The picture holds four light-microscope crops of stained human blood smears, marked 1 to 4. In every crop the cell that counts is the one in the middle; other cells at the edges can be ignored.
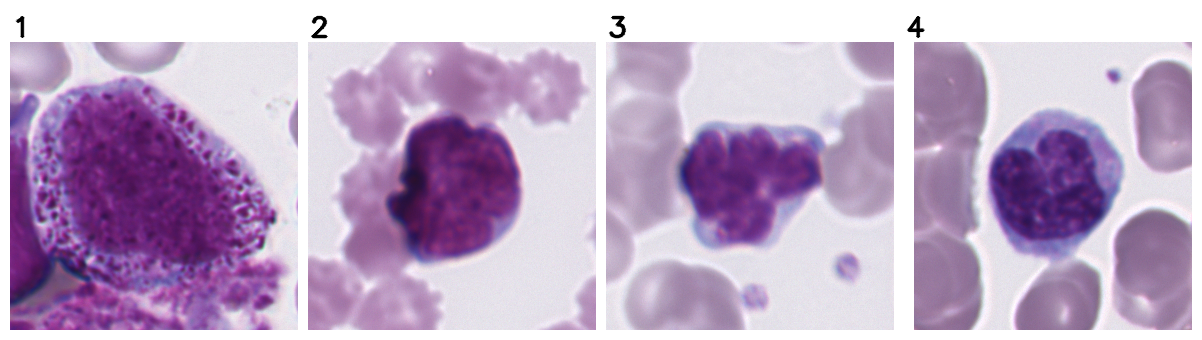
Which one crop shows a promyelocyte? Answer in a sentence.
Selected crop: 1, which is the one that shows a promyelocyte.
